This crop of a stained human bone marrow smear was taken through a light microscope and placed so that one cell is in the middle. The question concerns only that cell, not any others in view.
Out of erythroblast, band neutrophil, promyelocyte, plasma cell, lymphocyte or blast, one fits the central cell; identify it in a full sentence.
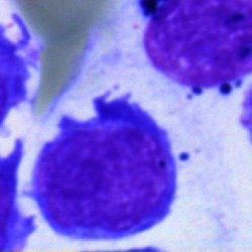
Regarding the central cell, it is a blast.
